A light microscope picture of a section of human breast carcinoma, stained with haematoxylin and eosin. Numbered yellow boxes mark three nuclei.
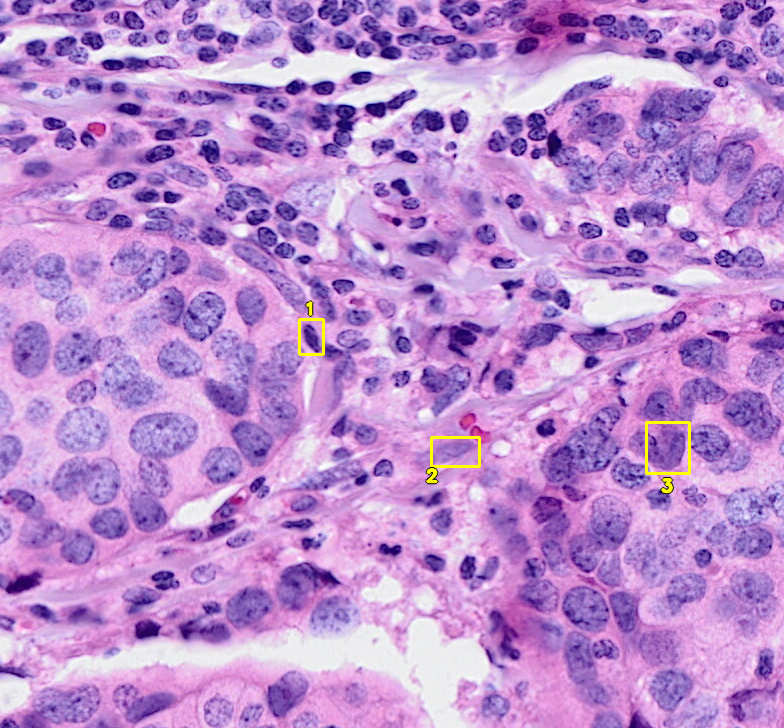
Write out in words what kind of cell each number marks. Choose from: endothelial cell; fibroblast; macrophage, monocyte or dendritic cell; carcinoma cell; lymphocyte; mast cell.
Cell 1 is a lymphocyte. Cell 2 is an endothelial cell. Cell 3 is a carcinoma cell.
